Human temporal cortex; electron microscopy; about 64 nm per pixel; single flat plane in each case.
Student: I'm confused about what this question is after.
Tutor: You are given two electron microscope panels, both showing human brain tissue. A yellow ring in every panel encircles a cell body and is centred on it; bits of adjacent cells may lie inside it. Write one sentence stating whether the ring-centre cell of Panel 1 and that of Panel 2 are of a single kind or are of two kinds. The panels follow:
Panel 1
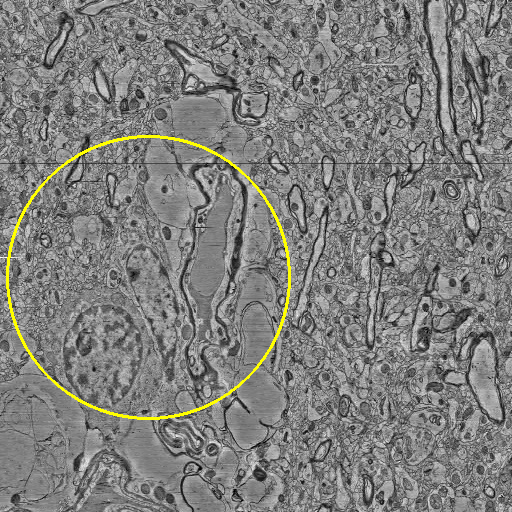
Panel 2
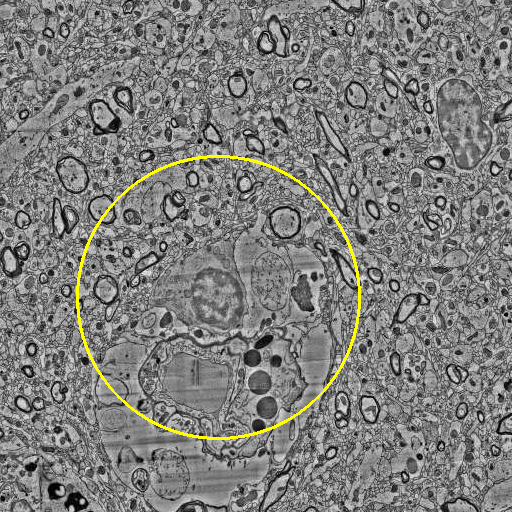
Here, the Panel 1 ring-centre cell and the Panel 2 ring-centre cell are of two kinds.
